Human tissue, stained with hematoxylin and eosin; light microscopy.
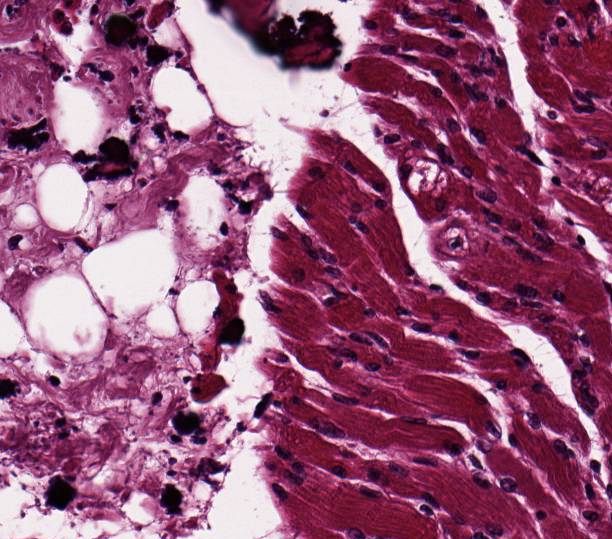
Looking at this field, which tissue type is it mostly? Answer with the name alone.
skeletal muscle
